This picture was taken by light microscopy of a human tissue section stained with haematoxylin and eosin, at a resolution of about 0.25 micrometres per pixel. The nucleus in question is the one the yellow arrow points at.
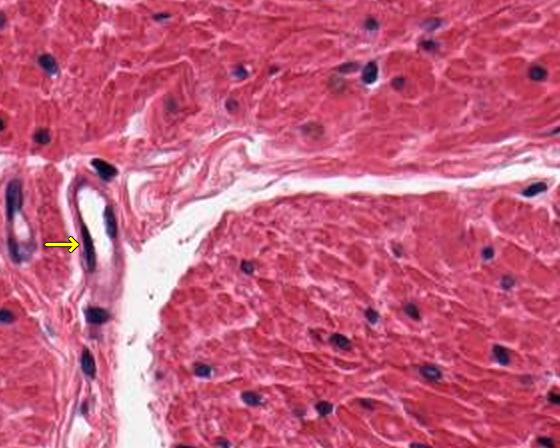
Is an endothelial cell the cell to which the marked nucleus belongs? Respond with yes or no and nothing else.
yes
